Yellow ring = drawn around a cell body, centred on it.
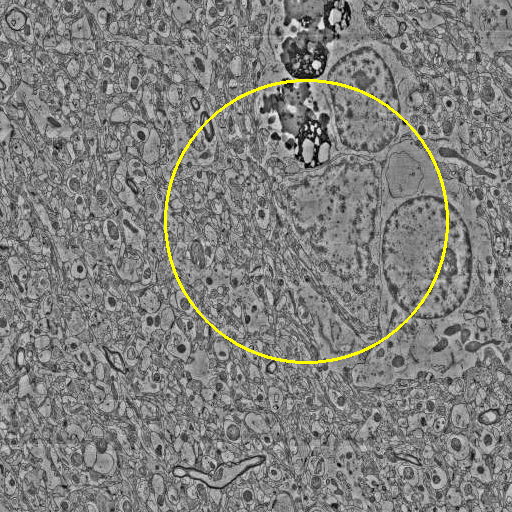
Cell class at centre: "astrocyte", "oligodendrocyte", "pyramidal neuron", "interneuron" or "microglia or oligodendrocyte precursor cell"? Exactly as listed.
interneuron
